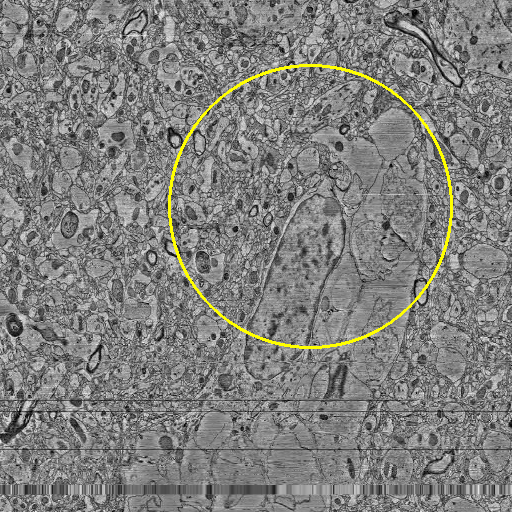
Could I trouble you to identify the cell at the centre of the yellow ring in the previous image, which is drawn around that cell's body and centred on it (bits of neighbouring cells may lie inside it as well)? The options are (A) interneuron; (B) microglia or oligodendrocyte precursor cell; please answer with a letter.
B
